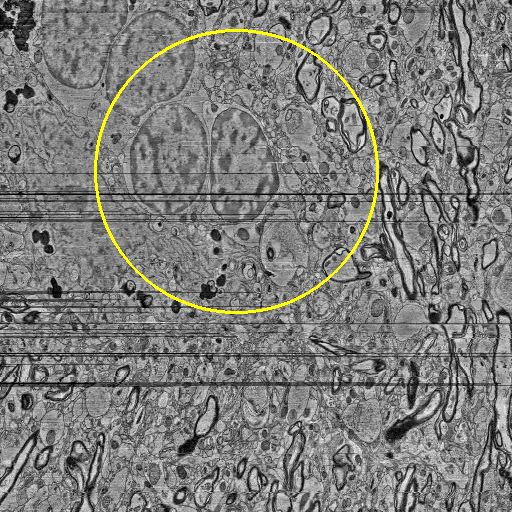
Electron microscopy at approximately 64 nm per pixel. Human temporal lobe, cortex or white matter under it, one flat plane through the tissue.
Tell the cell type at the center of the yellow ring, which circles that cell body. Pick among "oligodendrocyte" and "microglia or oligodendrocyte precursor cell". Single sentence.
The ring is centered on the body of a microglial cell or oligodendrocyte precursor cell.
